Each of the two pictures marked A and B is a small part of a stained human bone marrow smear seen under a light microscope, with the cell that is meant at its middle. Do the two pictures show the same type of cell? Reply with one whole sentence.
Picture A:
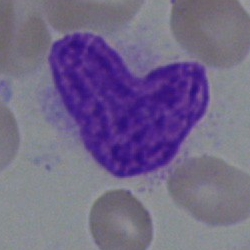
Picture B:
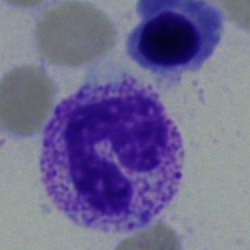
No. Picture A shows a monocyte, but picture B shows a band neutrophil.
